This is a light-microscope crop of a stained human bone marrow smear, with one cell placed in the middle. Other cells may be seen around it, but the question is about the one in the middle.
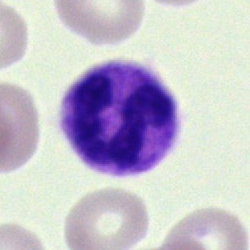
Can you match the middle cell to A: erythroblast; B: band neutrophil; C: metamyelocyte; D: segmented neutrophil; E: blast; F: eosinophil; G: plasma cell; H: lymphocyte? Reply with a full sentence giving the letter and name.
Option D stands as correct, the central cell being a segmented neutrophil.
